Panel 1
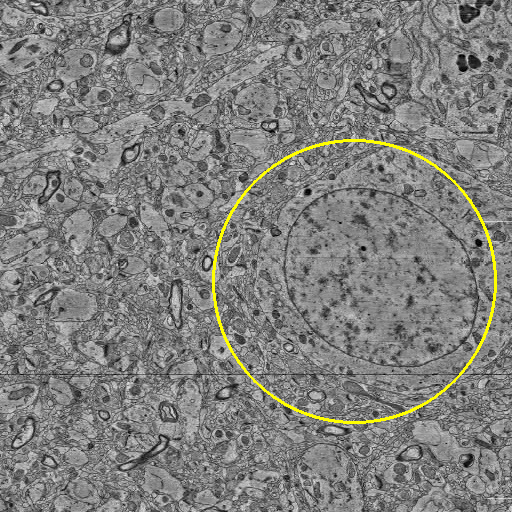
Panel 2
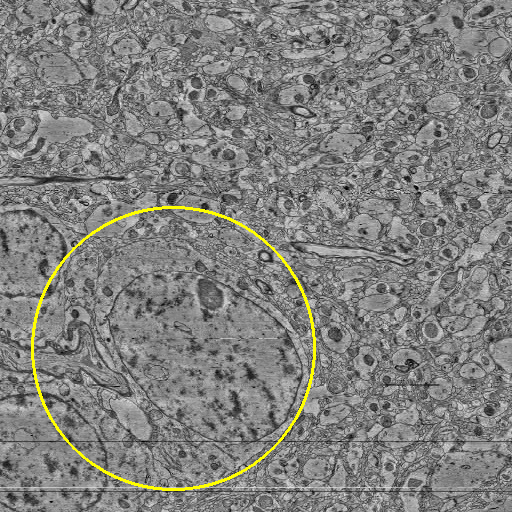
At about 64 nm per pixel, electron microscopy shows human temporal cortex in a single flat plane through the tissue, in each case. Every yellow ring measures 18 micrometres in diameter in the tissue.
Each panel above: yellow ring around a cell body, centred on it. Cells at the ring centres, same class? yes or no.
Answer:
yes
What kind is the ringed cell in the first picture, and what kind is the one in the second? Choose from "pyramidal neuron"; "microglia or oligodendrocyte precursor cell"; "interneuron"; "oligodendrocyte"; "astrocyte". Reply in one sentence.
Each cell at the centre of a ring is a pyramidal neuron.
